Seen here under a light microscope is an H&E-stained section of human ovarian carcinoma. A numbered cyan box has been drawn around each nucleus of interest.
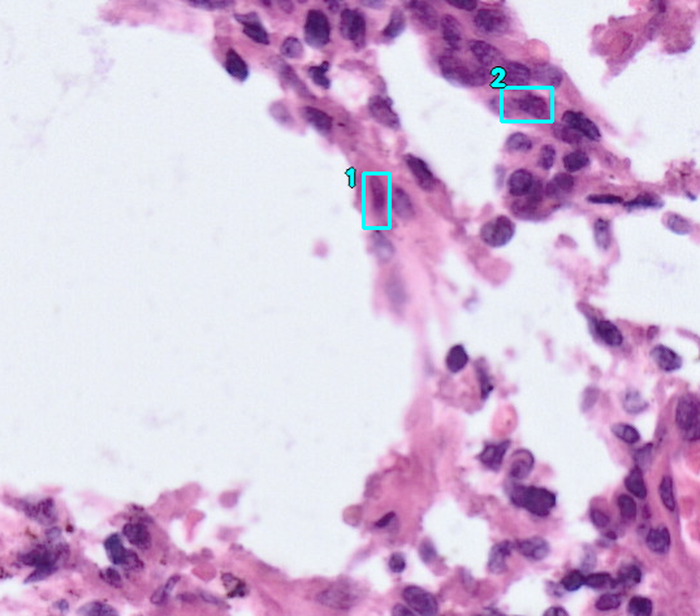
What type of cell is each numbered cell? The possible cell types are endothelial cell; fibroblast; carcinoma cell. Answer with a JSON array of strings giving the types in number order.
["endothelial cell", "carcinoma cell"]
